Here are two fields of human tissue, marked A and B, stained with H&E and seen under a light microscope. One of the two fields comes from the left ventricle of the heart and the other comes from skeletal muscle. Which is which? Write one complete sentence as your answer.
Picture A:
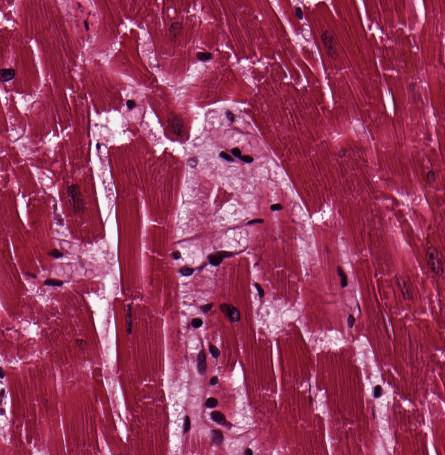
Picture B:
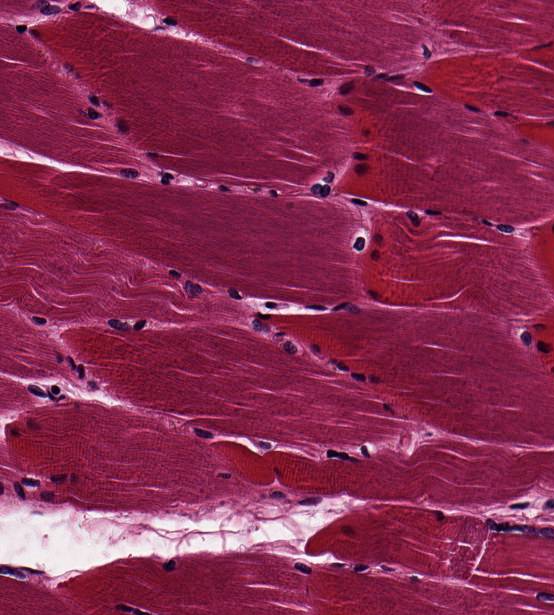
Picture B comes from skeletal muscle, while picture A comes from the left ventricle of the heart.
